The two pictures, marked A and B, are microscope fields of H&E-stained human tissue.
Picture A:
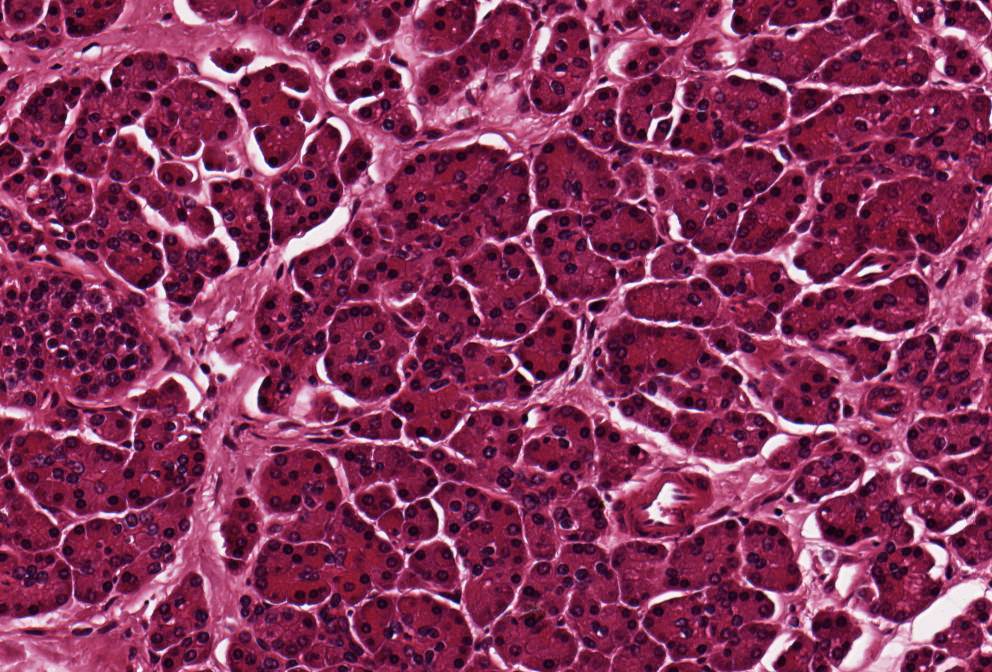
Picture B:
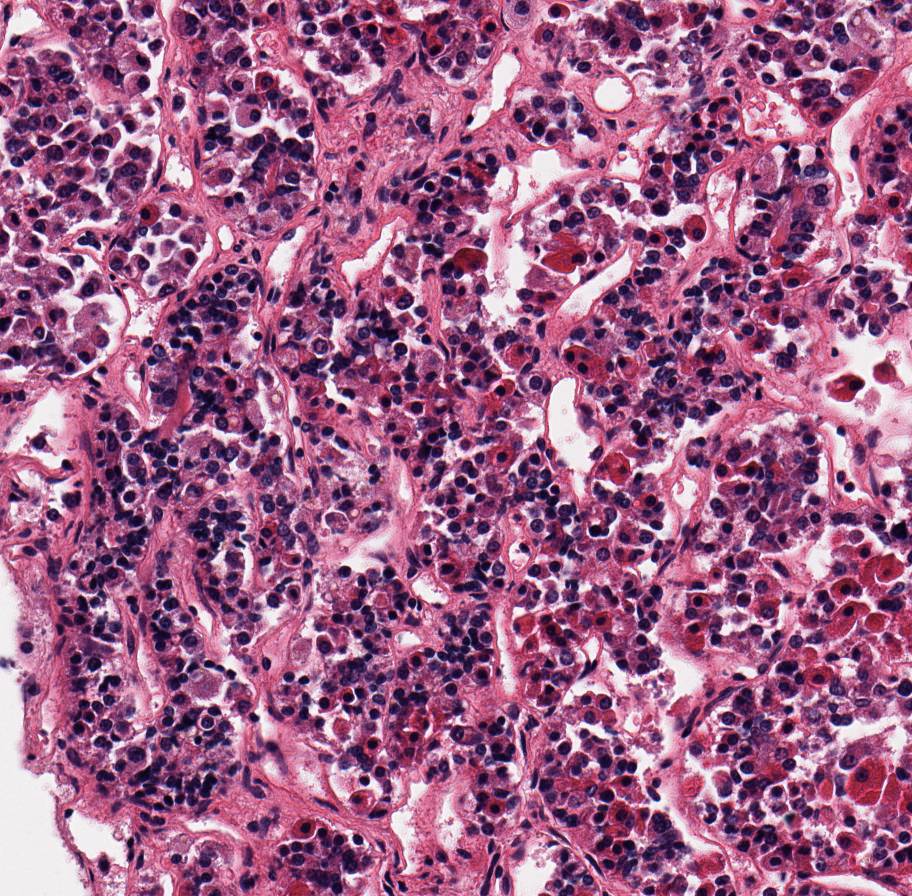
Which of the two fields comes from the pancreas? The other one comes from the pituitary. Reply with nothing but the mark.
A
